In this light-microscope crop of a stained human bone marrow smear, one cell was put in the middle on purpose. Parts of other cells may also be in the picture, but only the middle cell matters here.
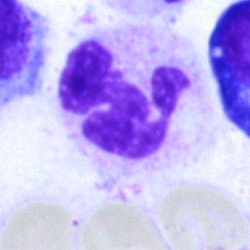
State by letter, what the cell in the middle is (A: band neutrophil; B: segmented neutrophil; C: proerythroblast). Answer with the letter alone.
B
